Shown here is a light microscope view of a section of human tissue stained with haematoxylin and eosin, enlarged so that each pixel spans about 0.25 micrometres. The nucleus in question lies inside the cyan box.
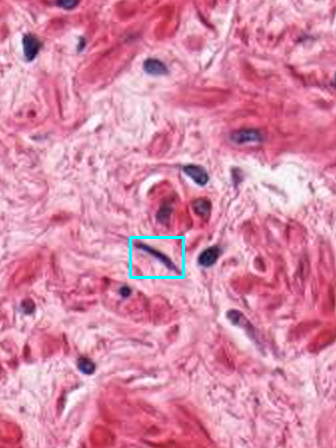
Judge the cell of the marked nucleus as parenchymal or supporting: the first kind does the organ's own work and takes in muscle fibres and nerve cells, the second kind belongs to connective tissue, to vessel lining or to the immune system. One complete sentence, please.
A supporting cell is the cell whose nucleus is marked.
